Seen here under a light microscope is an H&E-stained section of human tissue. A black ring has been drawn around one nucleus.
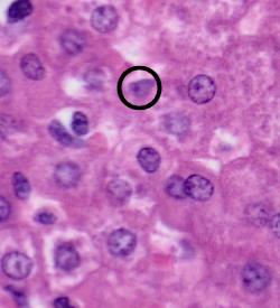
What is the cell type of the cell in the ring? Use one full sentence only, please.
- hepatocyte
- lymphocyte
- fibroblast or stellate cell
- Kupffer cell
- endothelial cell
To be brief about it, the cell in the ring is an endothelial cell.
